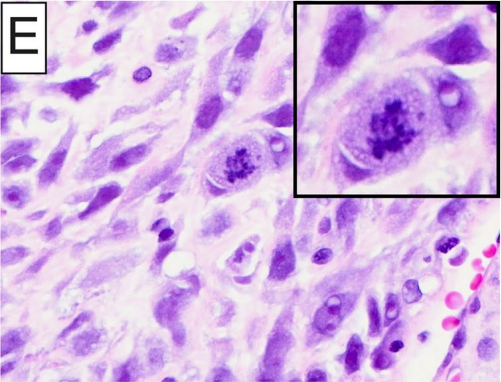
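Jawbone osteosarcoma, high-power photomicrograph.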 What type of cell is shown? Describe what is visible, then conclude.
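Elongated cells with large oval to elongated dark nuclei. Nuclei vary markedly in size.
Conclusion: malignant spindle cells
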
